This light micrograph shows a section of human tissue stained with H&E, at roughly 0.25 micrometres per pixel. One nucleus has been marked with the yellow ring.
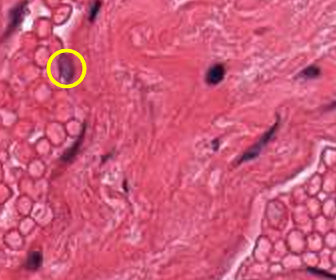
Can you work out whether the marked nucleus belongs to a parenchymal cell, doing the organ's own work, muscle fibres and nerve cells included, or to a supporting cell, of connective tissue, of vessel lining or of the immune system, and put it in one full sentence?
The cell that the marked nucleus belongs to is a supporting cell.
